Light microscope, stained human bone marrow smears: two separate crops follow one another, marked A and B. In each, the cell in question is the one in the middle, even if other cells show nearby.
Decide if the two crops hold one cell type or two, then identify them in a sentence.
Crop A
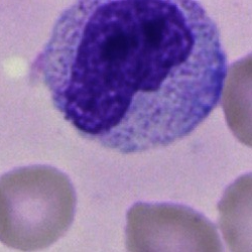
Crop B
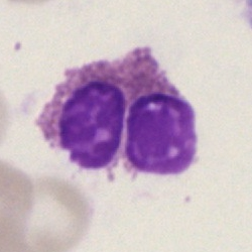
No, crop A shows a metamyelocyte, whereas in crop B the cell is an eosinophil.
